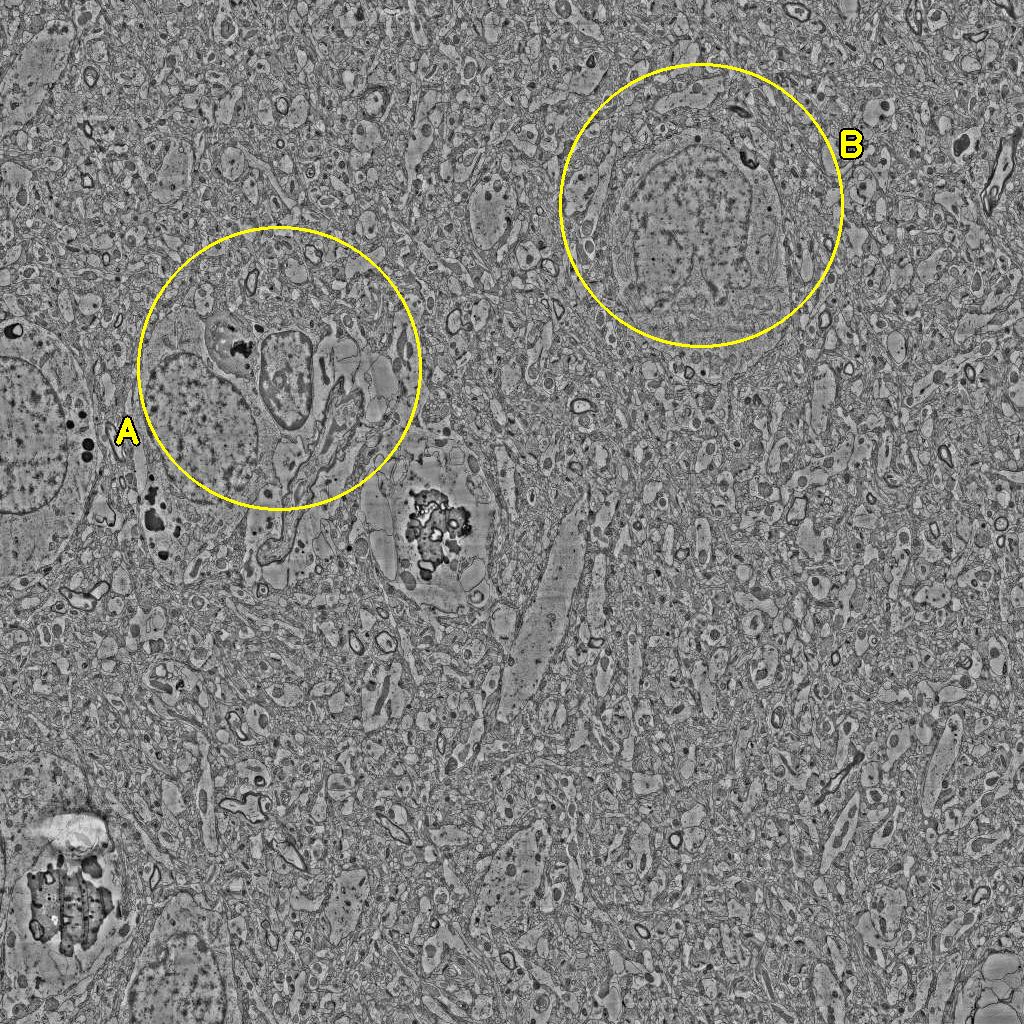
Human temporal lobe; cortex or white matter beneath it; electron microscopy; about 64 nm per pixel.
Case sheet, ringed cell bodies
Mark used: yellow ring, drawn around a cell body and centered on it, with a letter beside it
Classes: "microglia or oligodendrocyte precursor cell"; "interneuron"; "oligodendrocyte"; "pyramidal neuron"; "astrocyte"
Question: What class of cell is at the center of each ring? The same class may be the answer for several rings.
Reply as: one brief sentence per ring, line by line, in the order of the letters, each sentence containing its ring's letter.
Ring A has a microglial cell or oligodendrocyte precursor cell at its center.
Ring B has an interneuron at its center.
